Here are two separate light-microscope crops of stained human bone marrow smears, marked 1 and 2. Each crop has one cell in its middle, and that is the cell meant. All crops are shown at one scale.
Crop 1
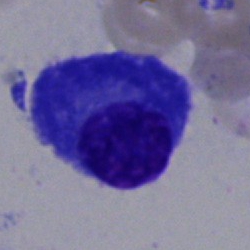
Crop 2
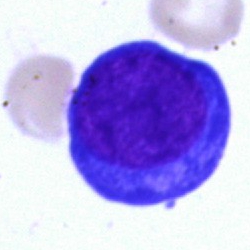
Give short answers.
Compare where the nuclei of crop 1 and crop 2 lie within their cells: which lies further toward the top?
2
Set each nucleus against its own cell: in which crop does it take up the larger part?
2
